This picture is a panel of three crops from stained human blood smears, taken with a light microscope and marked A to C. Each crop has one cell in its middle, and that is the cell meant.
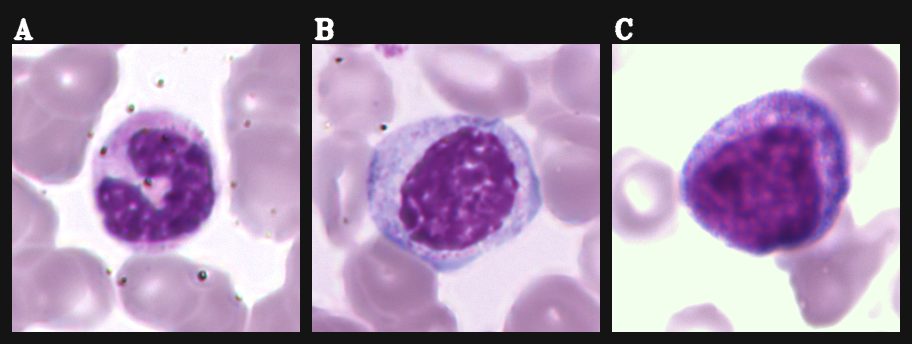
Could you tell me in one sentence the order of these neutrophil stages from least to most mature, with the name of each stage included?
The sequence from earliest to latest maturation stage is crop C (a promyelocyte), crop B (a myelocyte) and crop A (a band neutrophil).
